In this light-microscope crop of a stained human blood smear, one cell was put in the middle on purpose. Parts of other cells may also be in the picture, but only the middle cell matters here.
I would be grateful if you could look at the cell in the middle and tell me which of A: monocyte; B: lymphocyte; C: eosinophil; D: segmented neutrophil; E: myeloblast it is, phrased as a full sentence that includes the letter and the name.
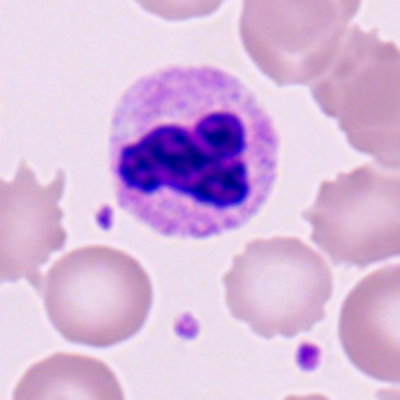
Well, the cell in the middle is a segmented neutrophil, making option D right.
